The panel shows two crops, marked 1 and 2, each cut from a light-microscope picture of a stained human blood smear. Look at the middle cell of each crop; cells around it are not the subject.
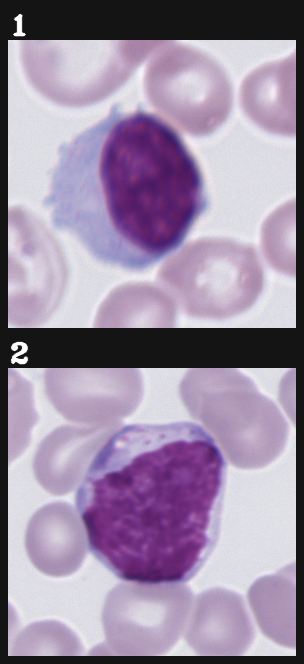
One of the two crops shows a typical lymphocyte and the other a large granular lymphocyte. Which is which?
1: typical lymphocyte
2: large granular lymphocyte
